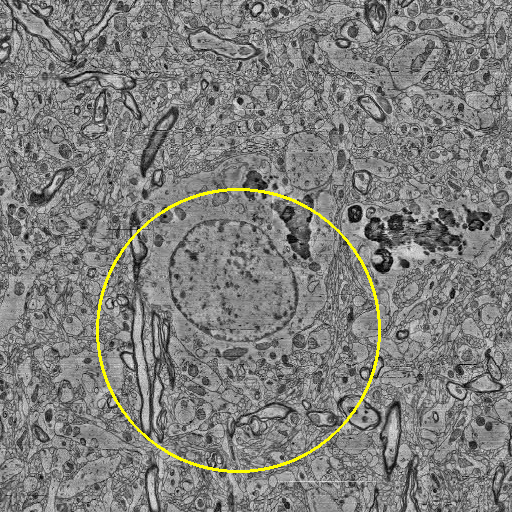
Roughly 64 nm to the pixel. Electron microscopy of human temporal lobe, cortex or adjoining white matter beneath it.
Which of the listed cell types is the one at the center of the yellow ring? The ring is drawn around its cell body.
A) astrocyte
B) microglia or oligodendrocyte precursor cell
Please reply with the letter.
A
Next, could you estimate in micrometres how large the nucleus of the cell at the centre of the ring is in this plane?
About 9 by 8 micrometers, in this plane.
